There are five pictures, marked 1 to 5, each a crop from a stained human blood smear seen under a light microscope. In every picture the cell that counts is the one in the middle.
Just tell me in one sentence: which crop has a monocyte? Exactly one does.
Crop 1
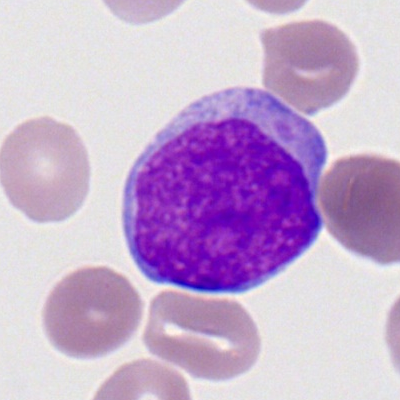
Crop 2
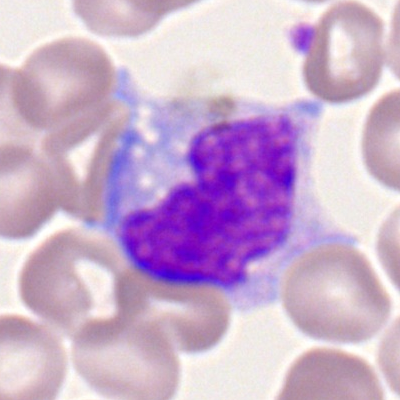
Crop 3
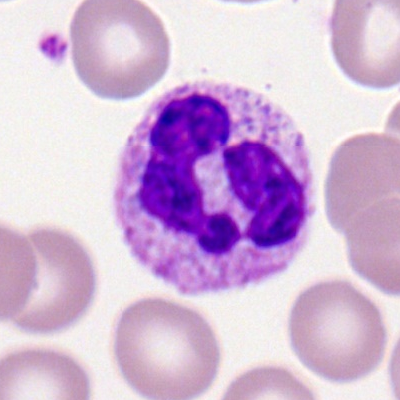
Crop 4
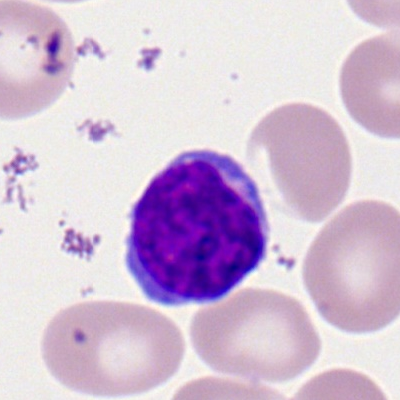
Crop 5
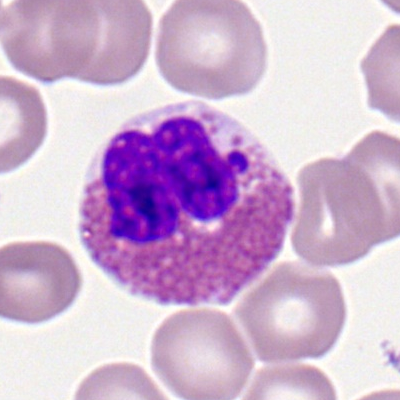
So the crop with a monocyte at its center is crop 2.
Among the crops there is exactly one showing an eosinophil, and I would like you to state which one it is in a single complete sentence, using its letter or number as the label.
It is crop 5, not any other, that shows an eosinophil.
